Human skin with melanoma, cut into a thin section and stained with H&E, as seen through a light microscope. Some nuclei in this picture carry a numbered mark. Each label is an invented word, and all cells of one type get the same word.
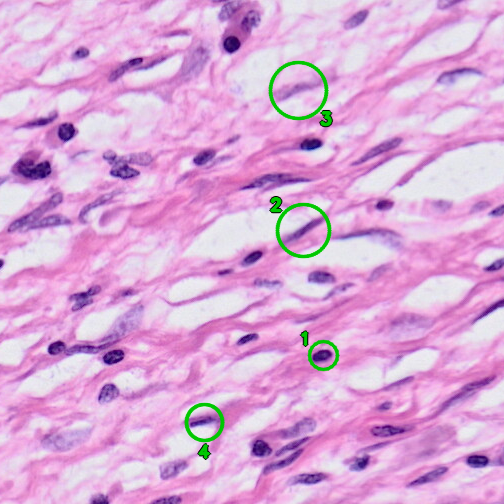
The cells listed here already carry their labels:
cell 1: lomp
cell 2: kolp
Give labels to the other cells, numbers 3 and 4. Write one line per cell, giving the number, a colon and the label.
3: kolp
4: kolp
